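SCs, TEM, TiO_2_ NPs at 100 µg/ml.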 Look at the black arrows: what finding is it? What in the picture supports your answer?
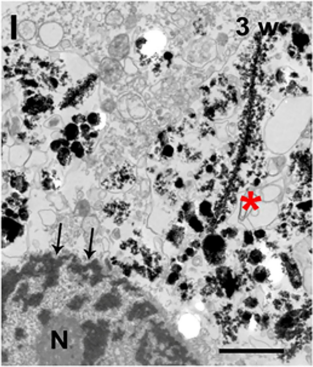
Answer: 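Chromatin marginalization. Dense dark chromatin lies in a band against the nuclear envelope where the arrows point.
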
